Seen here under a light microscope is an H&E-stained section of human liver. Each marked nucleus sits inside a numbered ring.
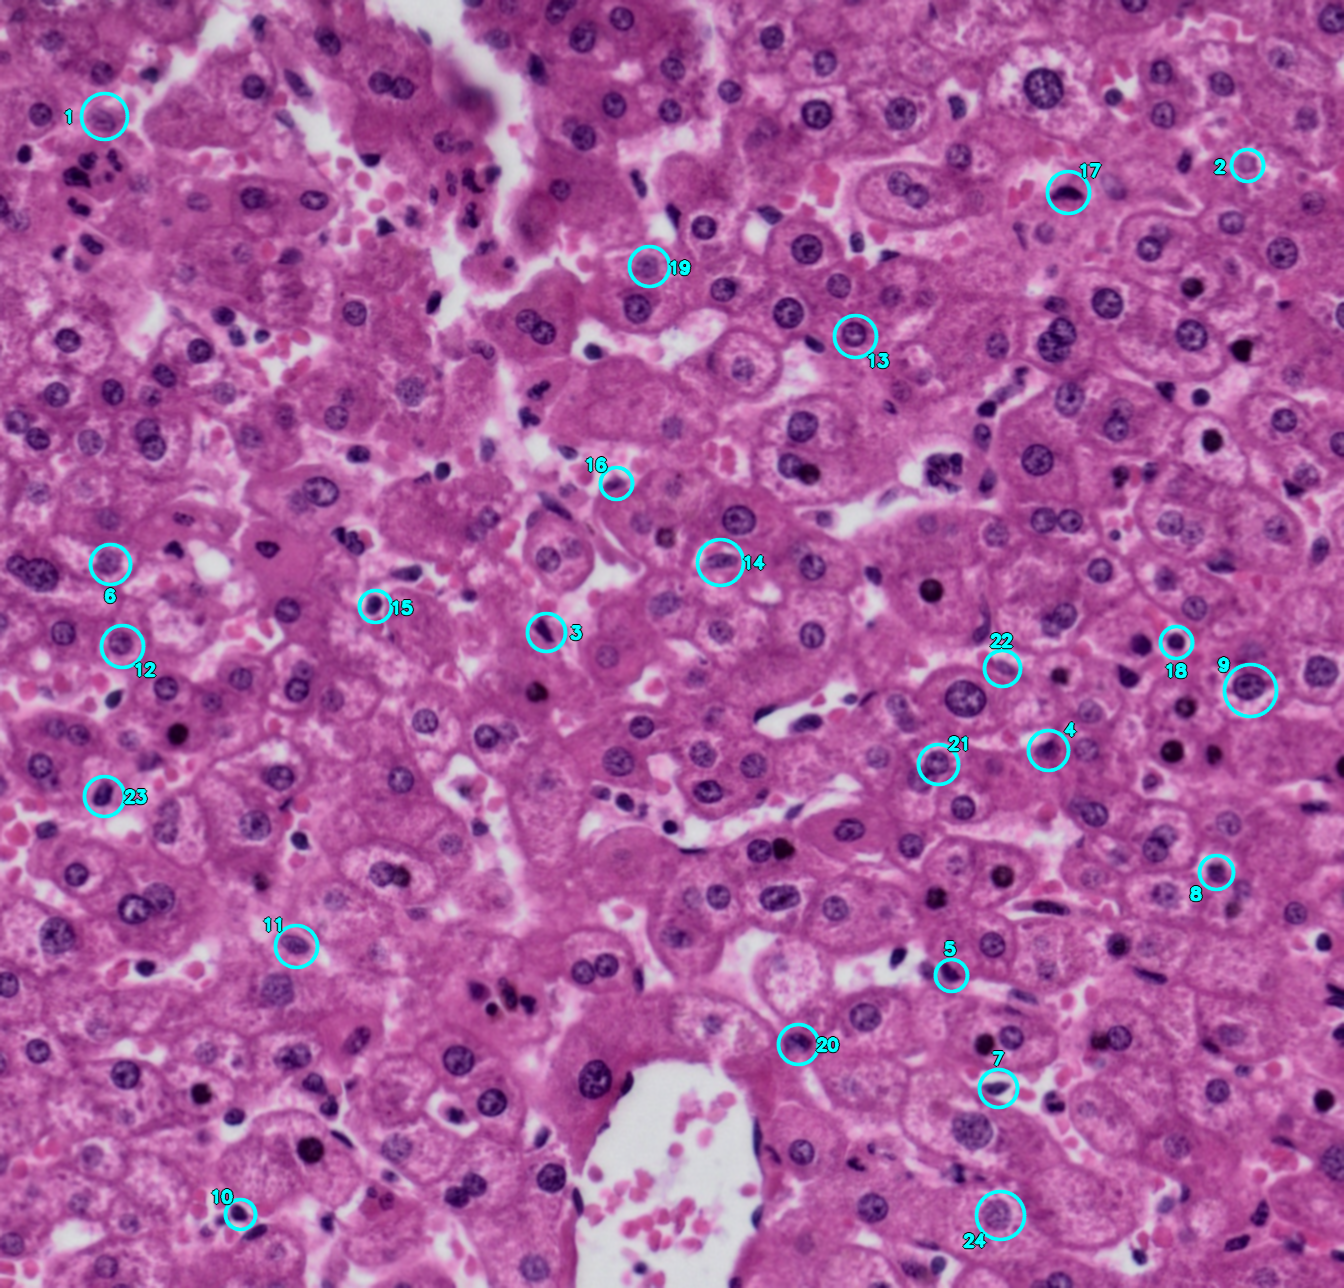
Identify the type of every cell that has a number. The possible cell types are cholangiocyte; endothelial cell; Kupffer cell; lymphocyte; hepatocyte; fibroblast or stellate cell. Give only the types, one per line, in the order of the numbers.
Kupffer cell
hepatocyte
fibroblast or stellate cell
fibroblast or stellate cell
fibroblast or stellate cell
hepatocyte
lymphocyte
Kupffer cell
hepatocyte
lymphocyte
Kupffer cell
hepatocyte
hepatocyte
Kupffer cell
lymphocyte
Kupffer cell
fibroblast or stellate cell
lymphocyte
hepatocyte
fibroblast or stellate cell
hepatocyte
Kupffer cell
fibroblast or stellate cell
hepatocyte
